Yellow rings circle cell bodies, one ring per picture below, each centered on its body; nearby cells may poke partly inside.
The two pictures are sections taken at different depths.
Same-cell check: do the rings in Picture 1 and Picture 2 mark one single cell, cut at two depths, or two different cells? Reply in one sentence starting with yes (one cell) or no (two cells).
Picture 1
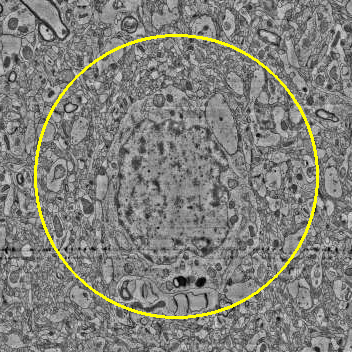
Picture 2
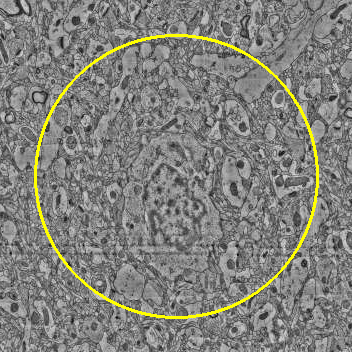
Yes, a single cell lies behind both yellow marks.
